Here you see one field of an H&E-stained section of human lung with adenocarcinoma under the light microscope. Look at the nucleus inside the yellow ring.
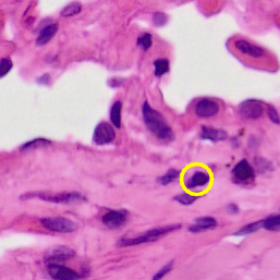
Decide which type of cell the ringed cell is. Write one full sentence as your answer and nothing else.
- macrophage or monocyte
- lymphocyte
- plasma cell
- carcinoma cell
Recorded by type, the ringed cell is a plasma cell.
